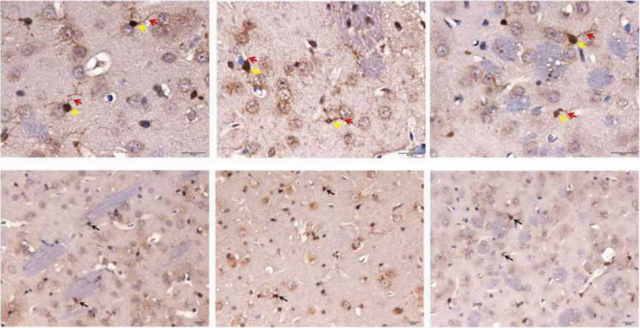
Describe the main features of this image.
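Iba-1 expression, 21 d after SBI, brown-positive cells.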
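These sections of brain tissue show scattered activated microglial cells stained dark brown against a pale background. In the higher-magnification upper row, the microglia appear as small, compact, dark brown cell bodies from which short, thin brown processes extend. They lie among larger, paler cells with round, lightly stained bluish nuclei and light cytoplasm. In the lower-magnification lower row, the brown microglia appear as sparse small dark dots and short threads scattered through the tissue. The microglia are much smaller and far fewer than the surrounding pale cells.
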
